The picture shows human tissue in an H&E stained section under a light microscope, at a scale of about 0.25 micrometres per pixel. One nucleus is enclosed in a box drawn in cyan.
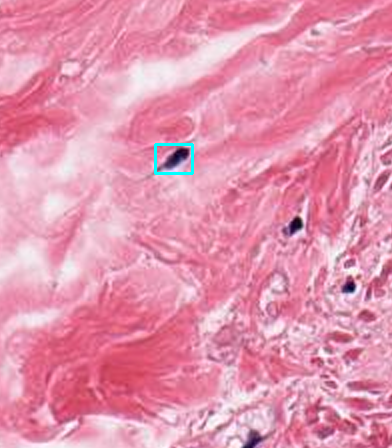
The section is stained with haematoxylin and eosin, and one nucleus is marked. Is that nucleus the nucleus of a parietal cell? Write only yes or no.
no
